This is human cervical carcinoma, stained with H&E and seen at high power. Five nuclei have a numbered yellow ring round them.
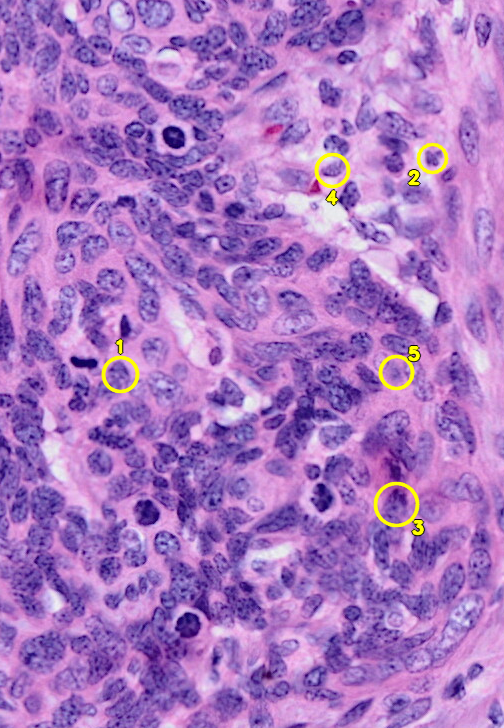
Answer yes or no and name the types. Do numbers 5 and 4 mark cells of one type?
No, cell 5 is a squamous carcinoma cell and cell 4 is an endothelial cell.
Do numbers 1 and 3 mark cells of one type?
Yes, both are squamous carcinoma cells.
